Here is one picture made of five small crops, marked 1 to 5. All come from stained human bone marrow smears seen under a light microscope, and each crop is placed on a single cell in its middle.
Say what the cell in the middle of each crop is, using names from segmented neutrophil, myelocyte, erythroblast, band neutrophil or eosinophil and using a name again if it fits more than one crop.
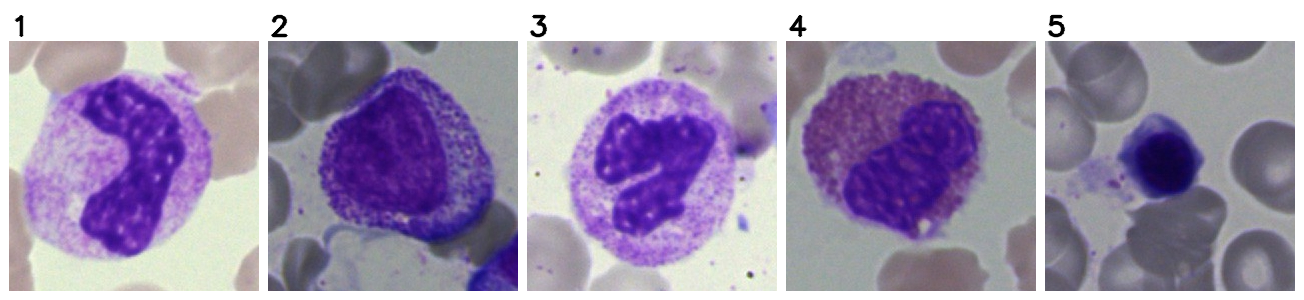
1: band neutrophil
2: myelocyte
3: band neutrophil
4: eosinophil
5: erythroblast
